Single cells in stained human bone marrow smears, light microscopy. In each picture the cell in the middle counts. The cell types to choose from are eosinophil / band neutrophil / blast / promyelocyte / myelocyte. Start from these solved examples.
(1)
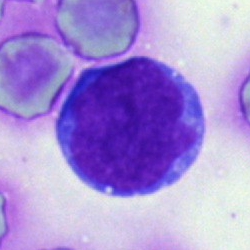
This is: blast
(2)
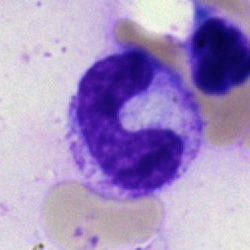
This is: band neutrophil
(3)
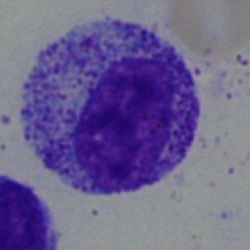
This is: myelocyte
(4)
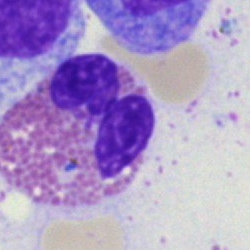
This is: eosinophil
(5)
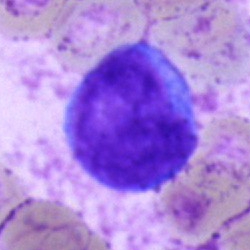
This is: blast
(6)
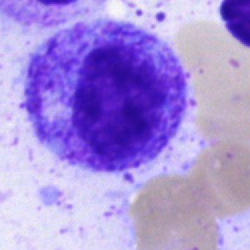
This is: myelocyte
